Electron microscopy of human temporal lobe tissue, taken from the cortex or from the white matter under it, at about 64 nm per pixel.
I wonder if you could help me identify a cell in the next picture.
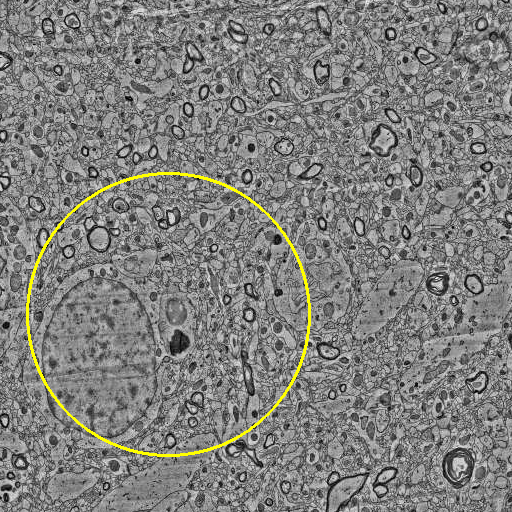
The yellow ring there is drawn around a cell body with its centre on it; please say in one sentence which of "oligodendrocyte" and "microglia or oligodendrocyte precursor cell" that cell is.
The yellow ring is centred on an oligodendrocyte.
